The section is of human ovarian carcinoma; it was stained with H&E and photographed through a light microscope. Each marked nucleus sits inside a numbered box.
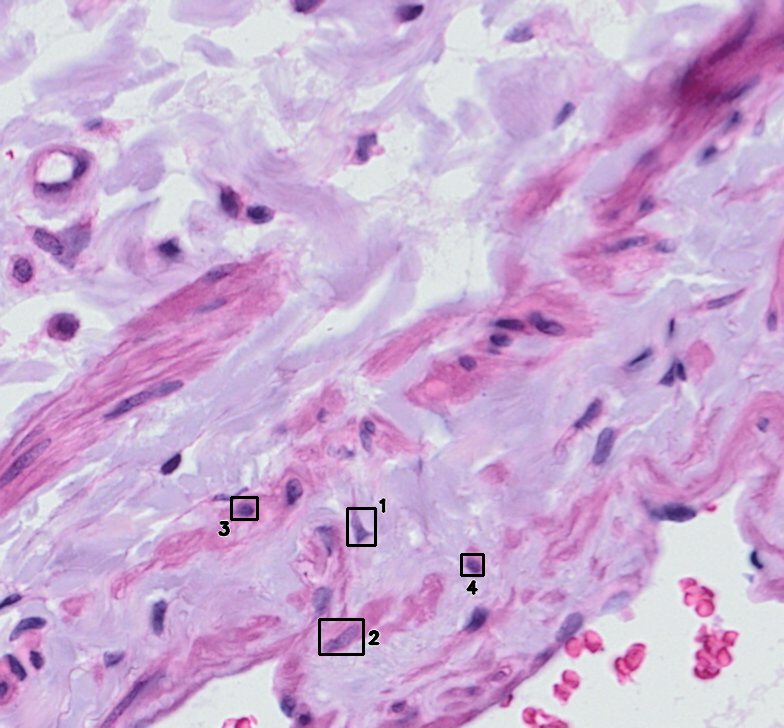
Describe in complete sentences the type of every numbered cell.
Cell 1 is a fibroblast, cell 2 is a smooth muscle cell, cell 3 is a smooth muscle cell and cell 4 is a smooth muscle cell.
